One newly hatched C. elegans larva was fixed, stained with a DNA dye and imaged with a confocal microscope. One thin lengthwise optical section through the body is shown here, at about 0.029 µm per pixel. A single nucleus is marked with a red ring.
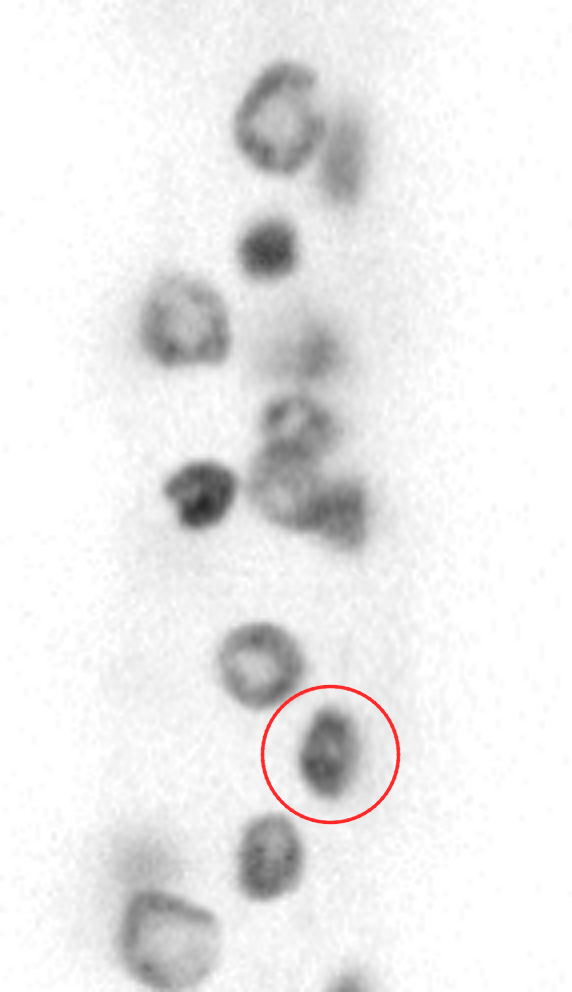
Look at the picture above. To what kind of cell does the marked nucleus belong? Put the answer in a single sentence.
It is the nucleus of a body wall muscle cell.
